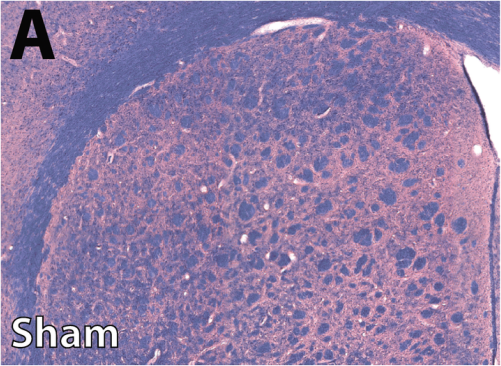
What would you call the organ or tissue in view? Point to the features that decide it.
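Caudate nucleus. A rounded mass of pink grey matter is capped by a curved band of blue-stained white matter. A white slit-like ventricular space borders the mass on the right. The pink grey matter is dotted throughout with many small blue-stained bundles.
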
